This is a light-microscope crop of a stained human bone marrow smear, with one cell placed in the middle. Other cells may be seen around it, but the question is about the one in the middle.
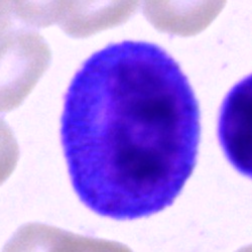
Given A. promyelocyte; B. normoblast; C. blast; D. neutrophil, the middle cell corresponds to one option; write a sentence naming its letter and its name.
Well, the cell in the middle is a promyelocyte, making option A right.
